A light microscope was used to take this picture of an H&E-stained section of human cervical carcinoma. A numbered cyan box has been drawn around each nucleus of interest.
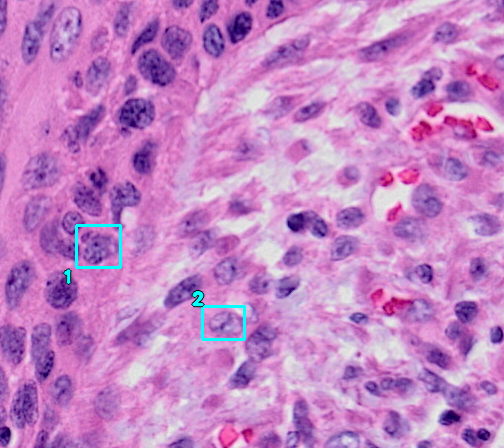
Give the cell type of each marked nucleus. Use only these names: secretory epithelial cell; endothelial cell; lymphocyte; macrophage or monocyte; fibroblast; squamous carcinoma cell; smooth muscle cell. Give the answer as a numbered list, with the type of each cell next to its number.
1. squamous carcinoma cell
2. endothelial cell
